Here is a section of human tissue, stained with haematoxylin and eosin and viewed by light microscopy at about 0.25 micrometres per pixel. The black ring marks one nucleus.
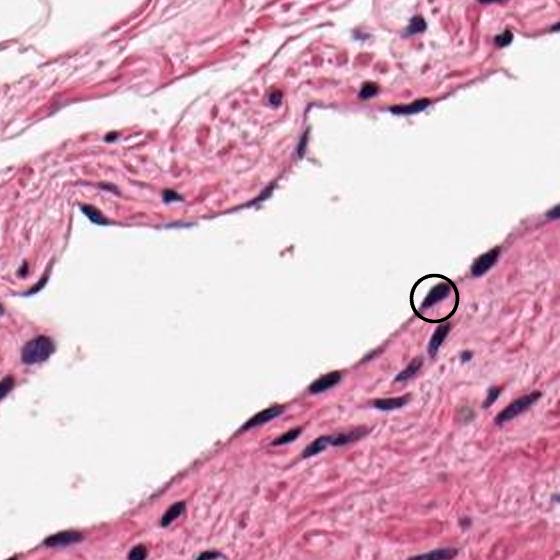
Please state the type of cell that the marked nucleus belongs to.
endothelial cell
